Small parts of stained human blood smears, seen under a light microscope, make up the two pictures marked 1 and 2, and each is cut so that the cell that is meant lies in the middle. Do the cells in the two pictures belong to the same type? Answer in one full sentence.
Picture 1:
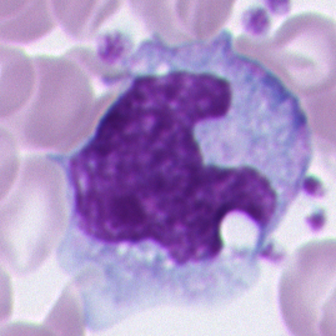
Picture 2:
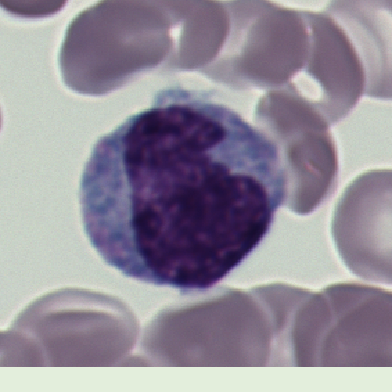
Yes; the cells in both pictures are monocytes.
